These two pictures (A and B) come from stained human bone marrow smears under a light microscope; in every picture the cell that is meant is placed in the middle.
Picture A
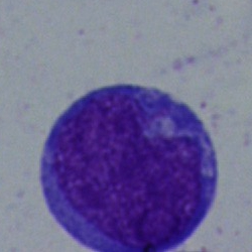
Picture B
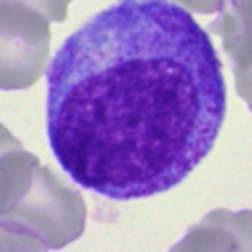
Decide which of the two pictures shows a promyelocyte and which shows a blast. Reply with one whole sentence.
It is picture A that shows a blast, and picture B that shows a promyelocyte.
